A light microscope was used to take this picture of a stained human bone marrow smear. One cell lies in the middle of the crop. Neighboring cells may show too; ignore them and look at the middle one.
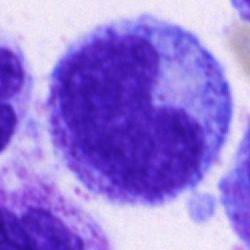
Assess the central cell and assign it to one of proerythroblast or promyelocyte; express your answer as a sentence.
This crop's central cell is a promyelocyte.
